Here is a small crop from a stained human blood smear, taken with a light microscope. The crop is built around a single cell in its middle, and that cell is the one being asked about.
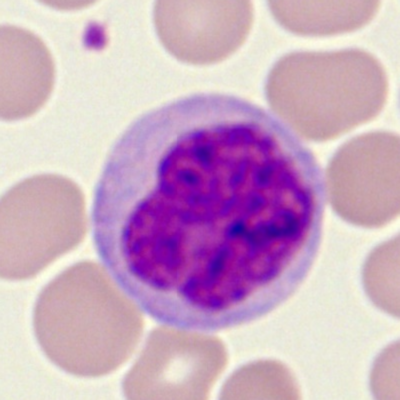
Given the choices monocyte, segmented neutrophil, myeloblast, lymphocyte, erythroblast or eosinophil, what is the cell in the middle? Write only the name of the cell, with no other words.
monocyte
